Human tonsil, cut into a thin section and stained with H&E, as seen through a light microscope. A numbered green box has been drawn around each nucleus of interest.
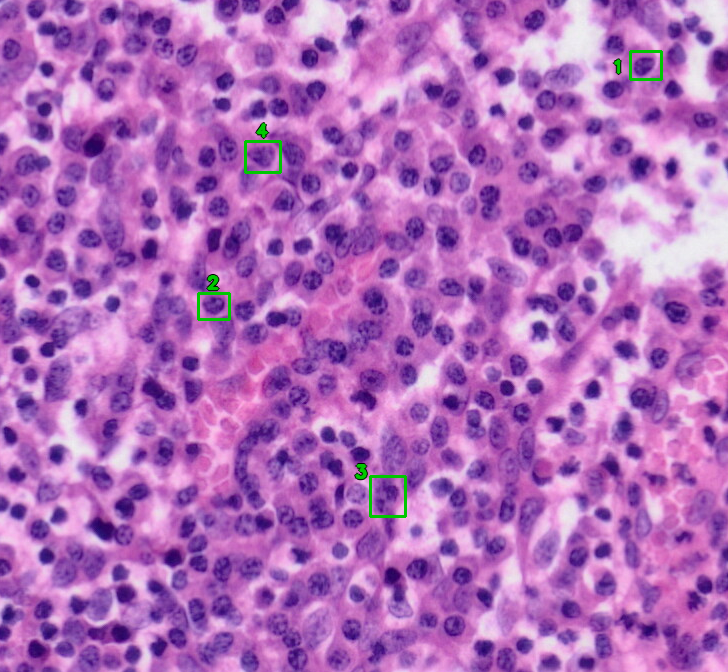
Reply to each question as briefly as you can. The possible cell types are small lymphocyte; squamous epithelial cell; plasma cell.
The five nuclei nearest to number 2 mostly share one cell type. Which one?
squamous epithelial cell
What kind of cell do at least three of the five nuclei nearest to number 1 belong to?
plasma cell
